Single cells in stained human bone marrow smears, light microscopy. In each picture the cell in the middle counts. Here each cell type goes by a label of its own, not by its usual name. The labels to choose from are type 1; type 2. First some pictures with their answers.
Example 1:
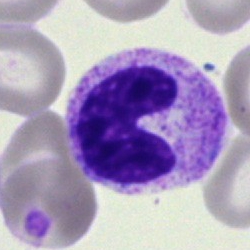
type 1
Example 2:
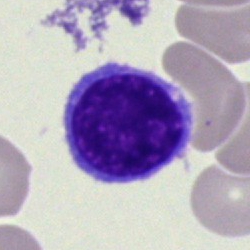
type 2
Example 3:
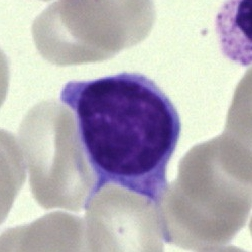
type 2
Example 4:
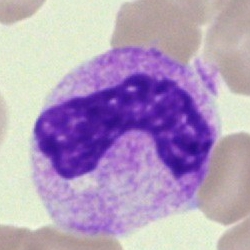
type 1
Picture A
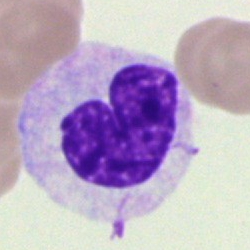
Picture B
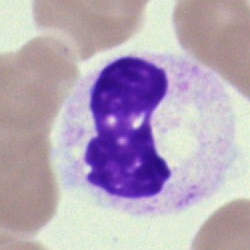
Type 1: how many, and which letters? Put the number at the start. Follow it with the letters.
2, namely A, B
